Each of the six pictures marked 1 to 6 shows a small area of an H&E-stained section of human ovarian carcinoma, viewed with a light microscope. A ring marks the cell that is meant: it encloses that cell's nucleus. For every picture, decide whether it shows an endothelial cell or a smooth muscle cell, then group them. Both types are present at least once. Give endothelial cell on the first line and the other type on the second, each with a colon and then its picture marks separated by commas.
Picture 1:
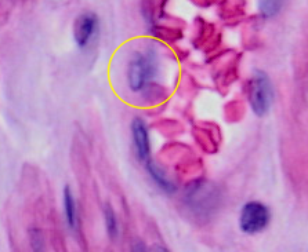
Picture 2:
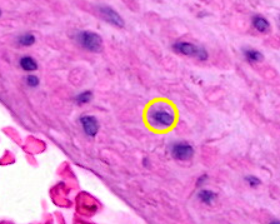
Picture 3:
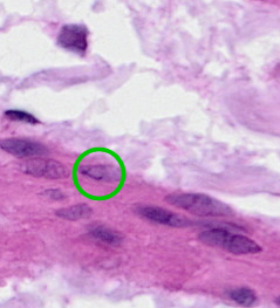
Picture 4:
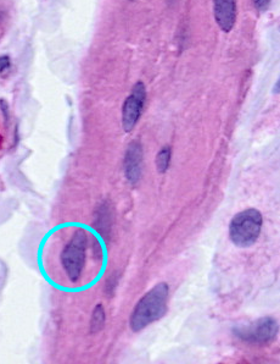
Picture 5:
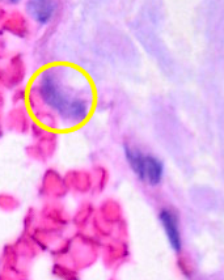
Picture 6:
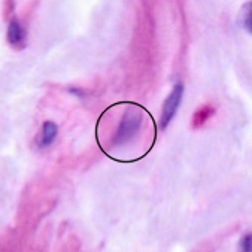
endothelial cell: 1, 5
smooth muscle cell: 2, 3, 4, 6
